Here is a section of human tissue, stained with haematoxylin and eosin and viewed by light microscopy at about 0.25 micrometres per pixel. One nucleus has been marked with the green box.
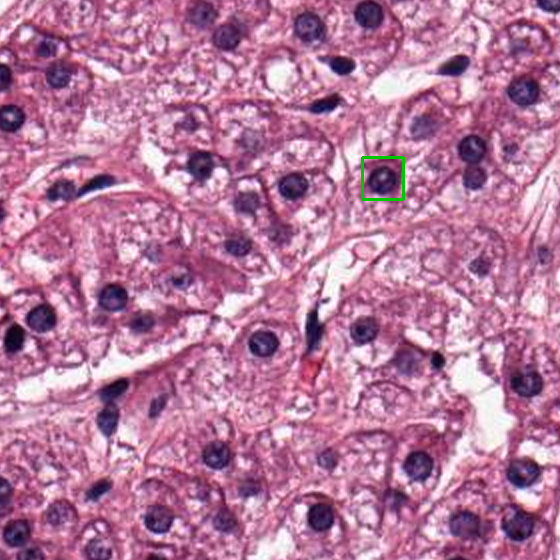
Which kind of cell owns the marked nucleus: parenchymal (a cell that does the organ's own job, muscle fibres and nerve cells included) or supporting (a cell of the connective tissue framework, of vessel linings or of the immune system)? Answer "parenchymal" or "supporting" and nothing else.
parenchymal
